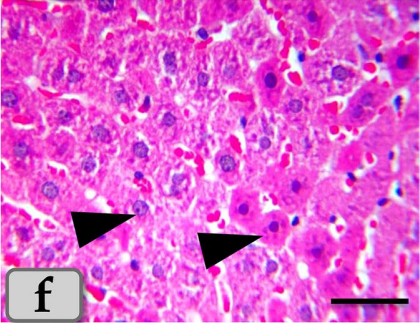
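This is liver parenchyma made of hepatocytes whose nuclei are pleomorphic. The nuclei vary clearly in size, some being enlarged and others smaller and more darkly stained. The hepatocytes have pink cytoplasm and are not arranged in neat cords, and red blood cells lie in the spaces between them.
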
